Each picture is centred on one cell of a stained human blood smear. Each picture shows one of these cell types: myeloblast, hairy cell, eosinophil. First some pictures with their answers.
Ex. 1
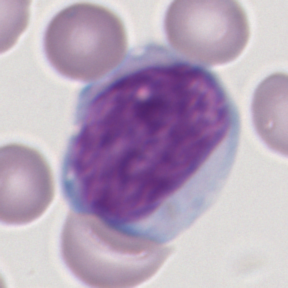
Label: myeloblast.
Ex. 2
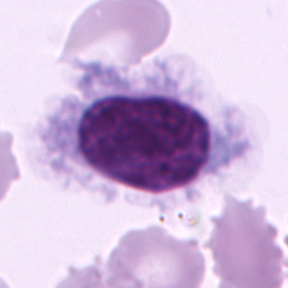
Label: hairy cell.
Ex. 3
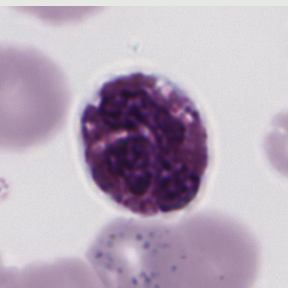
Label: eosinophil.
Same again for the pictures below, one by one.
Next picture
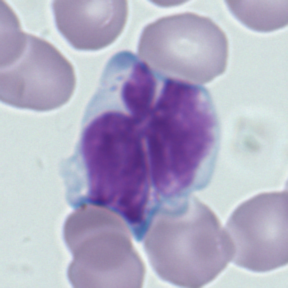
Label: myeloblast.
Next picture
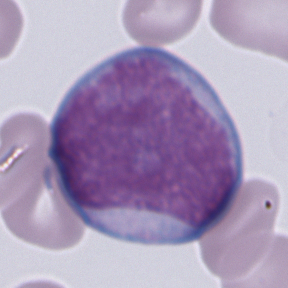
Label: myeloblast.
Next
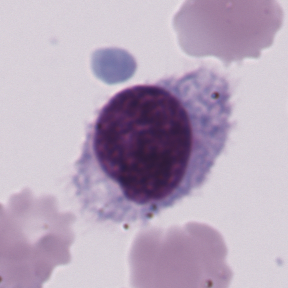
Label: hairy cell.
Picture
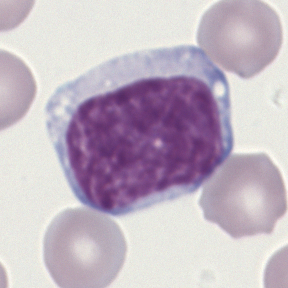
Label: myeloblast.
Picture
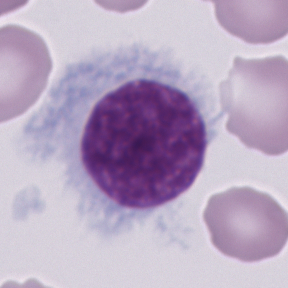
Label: hairy cell.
